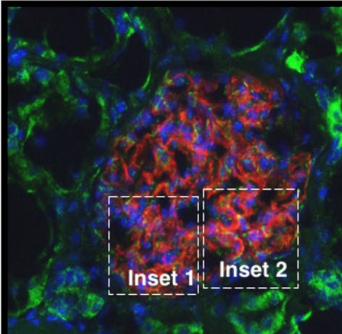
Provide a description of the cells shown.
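Kidney cortex with one glomerulus in the centre, surrounded by cross-sectioned tubules. Small green specks are scattered through the glomerulus, and some of them sit next to the red network, giving yellowish spots. Around the glomerulus, the round tubules have open lumens and walls lined by blue nuclei. Green signal outlines these tubular cells. No red signal is seen outside the glomerulus.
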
